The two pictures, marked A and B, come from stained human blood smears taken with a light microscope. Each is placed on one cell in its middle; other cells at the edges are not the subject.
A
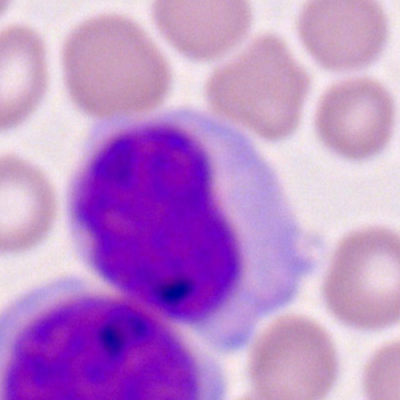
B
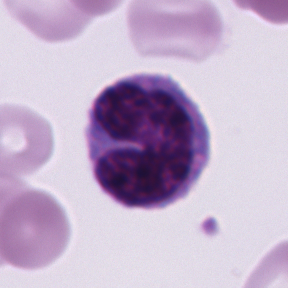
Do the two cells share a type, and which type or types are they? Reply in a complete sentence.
Yes, the cells in the centres of the two crops are monocytes.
